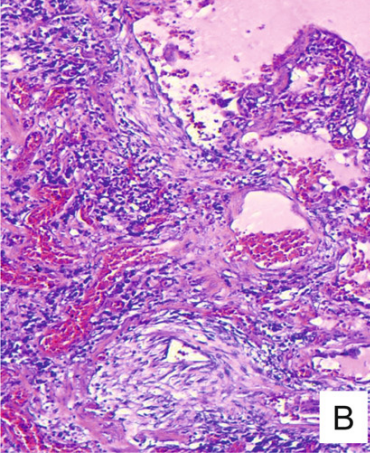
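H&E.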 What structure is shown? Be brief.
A: Immature fibroblastic foci.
